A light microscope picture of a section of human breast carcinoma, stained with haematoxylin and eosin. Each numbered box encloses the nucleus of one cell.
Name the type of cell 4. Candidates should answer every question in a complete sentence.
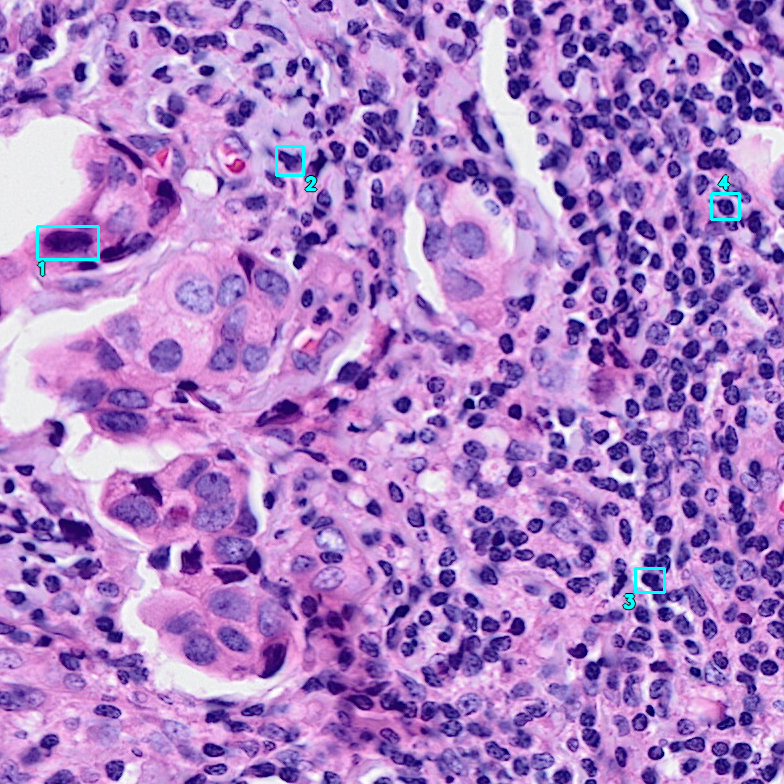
Regarding cell 4, this one is a lymphocyte.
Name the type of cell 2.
Here, the cell given the number 2 is a lymphocyte.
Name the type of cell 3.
Heads up, the cell numbered 3 is a lymphocyte.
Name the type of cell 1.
The cell identified by number 1 is a carcinoma cell.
